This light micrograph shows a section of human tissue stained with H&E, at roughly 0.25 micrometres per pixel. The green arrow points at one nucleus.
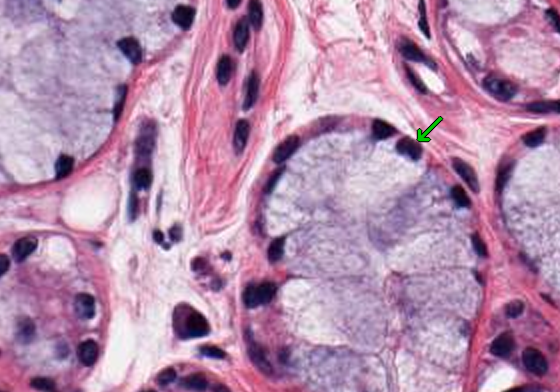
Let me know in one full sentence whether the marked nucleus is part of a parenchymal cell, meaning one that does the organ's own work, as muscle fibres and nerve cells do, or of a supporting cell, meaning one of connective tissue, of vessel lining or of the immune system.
The marked nucleus belongs to a mucous gland cell, a parenchymal cell.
